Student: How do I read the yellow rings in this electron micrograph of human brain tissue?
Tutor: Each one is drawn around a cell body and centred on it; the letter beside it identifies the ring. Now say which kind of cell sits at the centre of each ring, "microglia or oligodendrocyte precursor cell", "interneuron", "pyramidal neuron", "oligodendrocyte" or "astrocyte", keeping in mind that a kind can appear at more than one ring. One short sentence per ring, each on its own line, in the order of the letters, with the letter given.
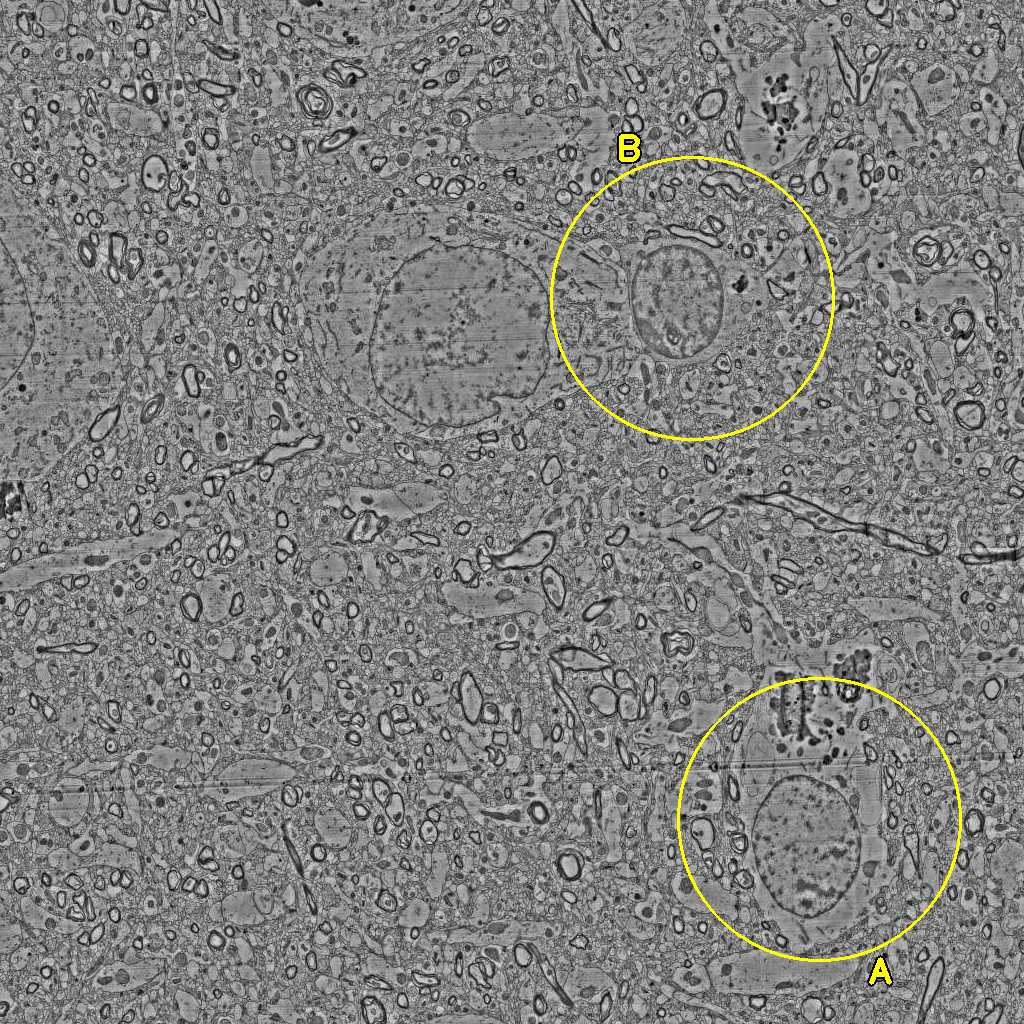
In the centre of ring A is an astrocyte.
In the centre of ring B is an oligodendrocyte.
